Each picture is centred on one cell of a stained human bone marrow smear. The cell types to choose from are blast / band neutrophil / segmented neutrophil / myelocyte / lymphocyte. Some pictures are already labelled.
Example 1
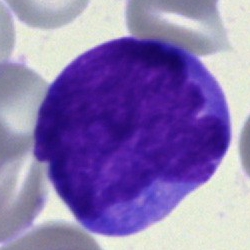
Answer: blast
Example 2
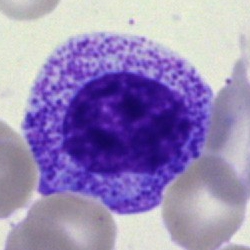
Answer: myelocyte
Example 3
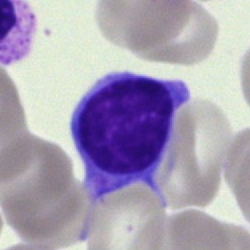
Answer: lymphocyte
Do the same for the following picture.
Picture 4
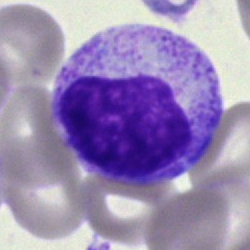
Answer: myelocyte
